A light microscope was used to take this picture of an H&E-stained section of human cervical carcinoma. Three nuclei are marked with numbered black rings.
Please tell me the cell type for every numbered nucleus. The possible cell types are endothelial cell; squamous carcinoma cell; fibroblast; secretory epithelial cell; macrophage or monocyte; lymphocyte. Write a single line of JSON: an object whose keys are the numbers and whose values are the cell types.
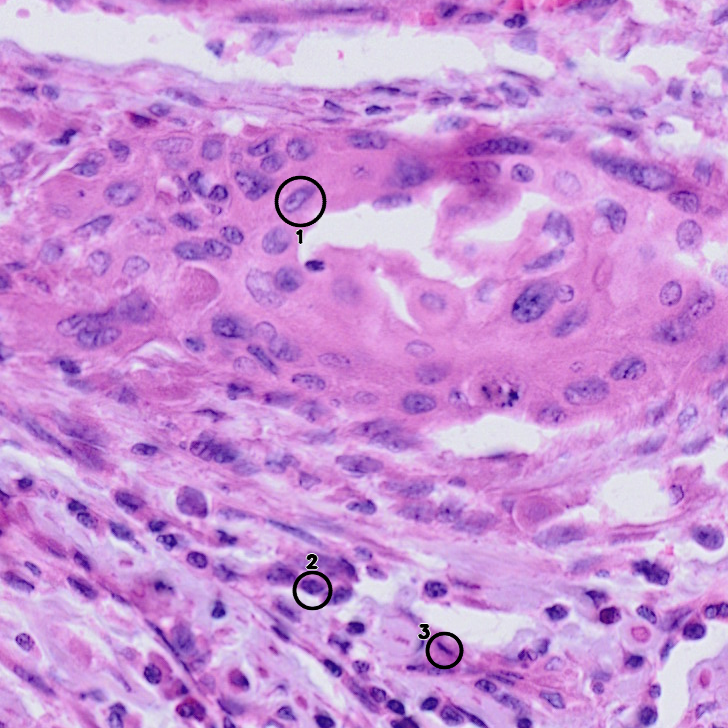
{"1": "squamous carcinoma cell", "2": "lymphocyte", "3": "endothelial cell"}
